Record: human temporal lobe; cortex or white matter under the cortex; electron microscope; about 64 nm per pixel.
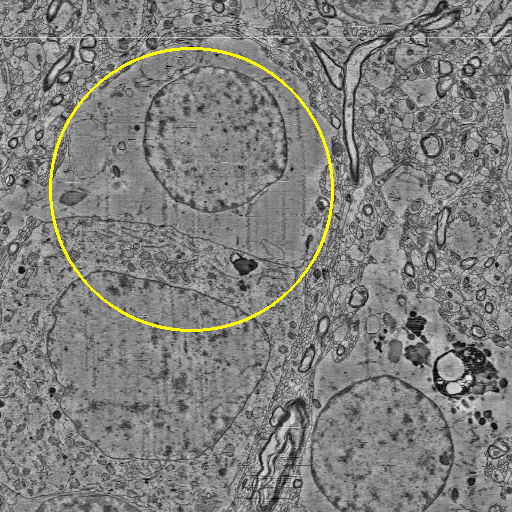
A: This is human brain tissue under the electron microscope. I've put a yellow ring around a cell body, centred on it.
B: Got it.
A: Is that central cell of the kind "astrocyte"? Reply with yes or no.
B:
yes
